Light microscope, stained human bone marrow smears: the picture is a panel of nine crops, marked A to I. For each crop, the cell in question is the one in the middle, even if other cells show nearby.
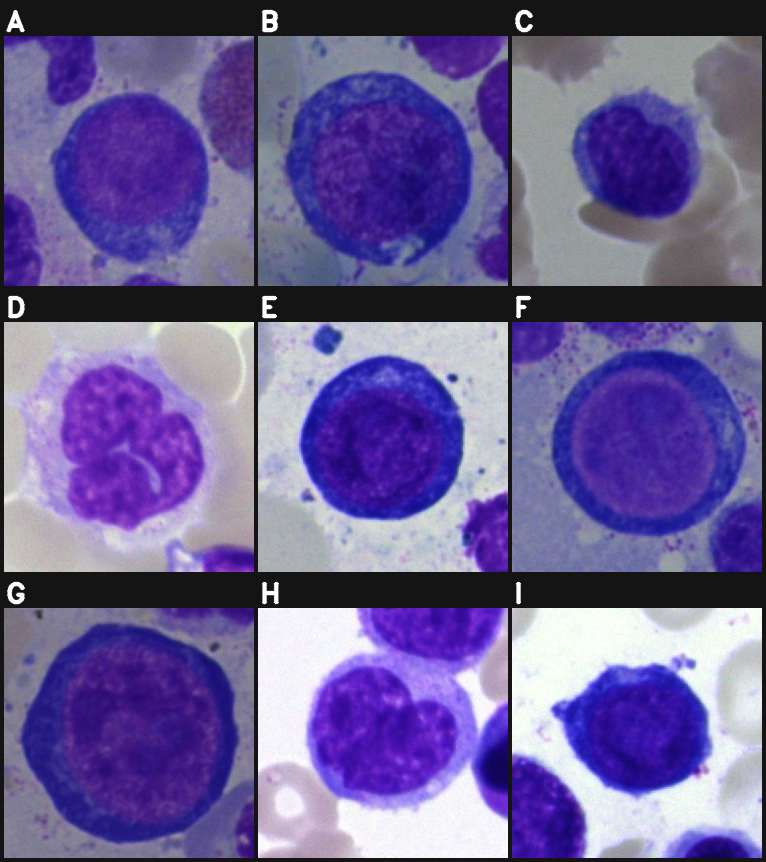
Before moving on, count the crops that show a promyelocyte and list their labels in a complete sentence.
Every one of the crops is without promyelocytes, so the count is zero.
